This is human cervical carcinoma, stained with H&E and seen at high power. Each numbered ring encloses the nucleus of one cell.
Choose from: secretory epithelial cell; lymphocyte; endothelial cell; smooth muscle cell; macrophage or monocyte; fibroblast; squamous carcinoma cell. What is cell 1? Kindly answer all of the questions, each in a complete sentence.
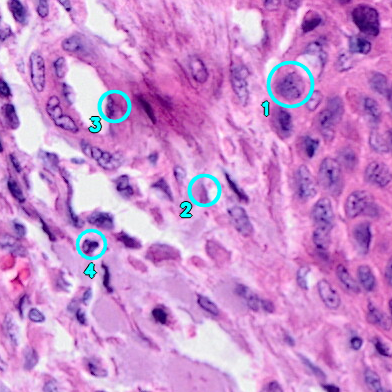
Recognised here as a squamous carcinoma cell is the cell numbered 1.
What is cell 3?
Cell 3 should be recorded as an endothelial cell.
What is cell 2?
That cell with number 2 is a fibroblast.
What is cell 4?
The marked cell with the number 4 is recognised as a lymphocyte.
